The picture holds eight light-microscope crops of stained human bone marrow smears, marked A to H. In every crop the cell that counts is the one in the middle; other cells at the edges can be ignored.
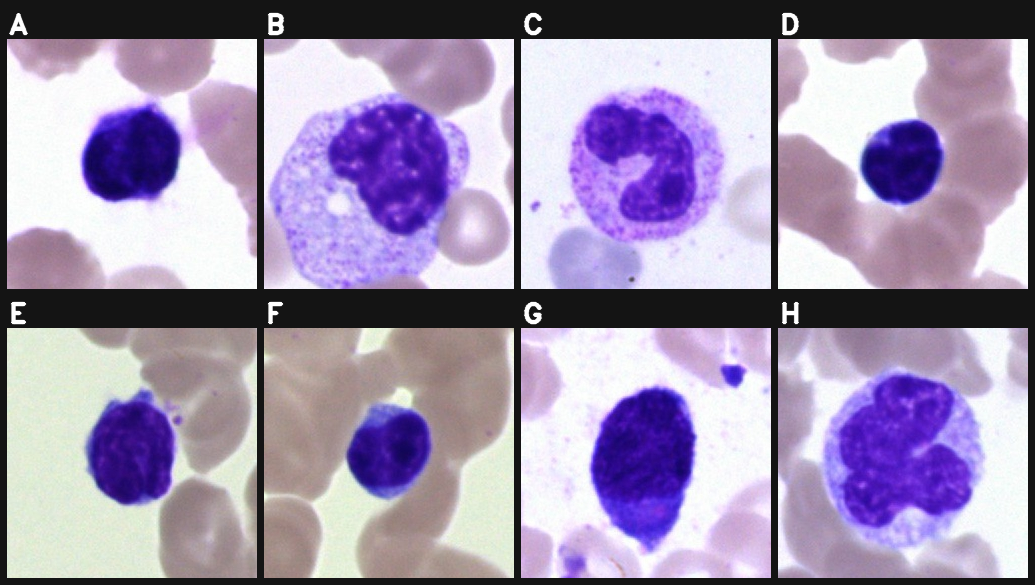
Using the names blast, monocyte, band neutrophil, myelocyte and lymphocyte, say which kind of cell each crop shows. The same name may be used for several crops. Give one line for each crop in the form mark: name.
A: lymphocyte
B: myelocyte
C: band neutrophil
D: lymphocyte
E: lymphocyte
F: lymphocyte
G: blast
H: monocyte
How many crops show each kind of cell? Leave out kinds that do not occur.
lymphocyte: 4
myelocyte: 1
band neutrophil: 1
blast: 1
monocyte: 1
